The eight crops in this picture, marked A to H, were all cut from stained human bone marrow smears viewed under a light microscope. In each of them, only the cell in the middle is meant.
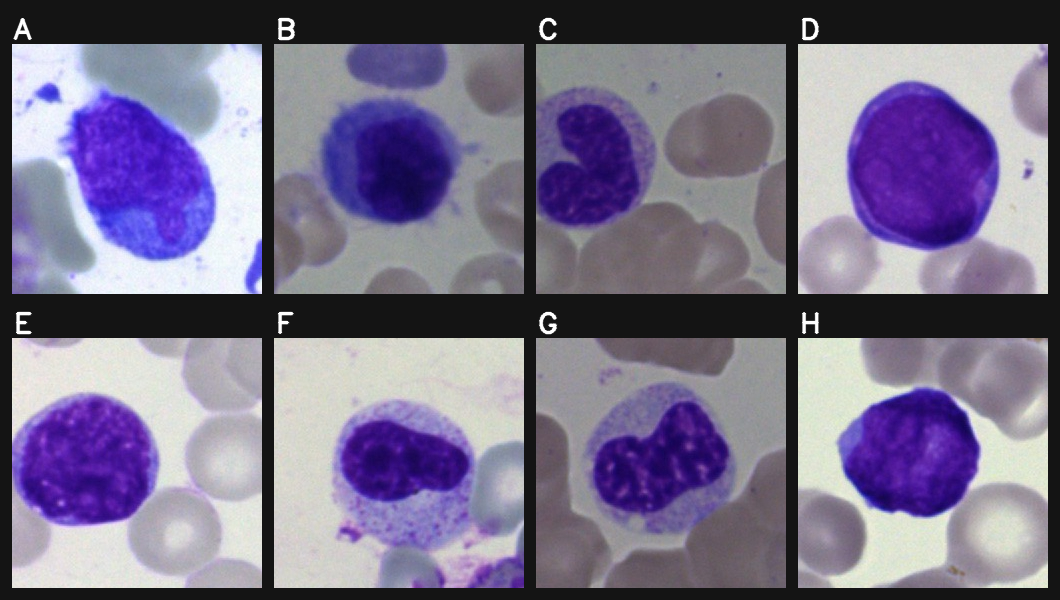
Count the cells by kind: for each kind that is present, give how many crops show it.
blast: 4
metamyelocyte: 3
hairy cell: 1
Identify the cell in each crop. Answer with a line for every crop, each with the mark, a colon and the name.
A: blast
B: hairy cell
C: metamyelocyte
D: blast
E: blast
F: metamyelocyte
G: metamyelocyte
H: blast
